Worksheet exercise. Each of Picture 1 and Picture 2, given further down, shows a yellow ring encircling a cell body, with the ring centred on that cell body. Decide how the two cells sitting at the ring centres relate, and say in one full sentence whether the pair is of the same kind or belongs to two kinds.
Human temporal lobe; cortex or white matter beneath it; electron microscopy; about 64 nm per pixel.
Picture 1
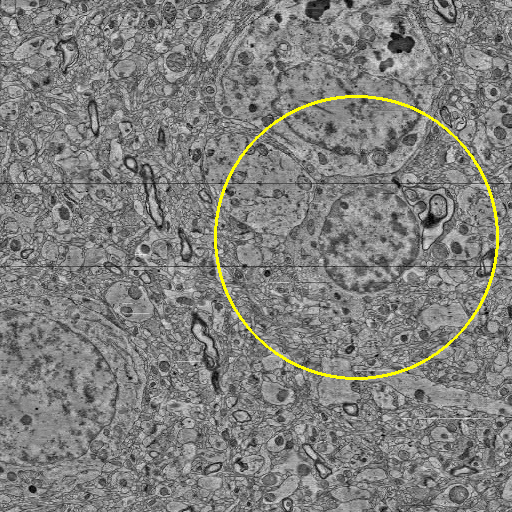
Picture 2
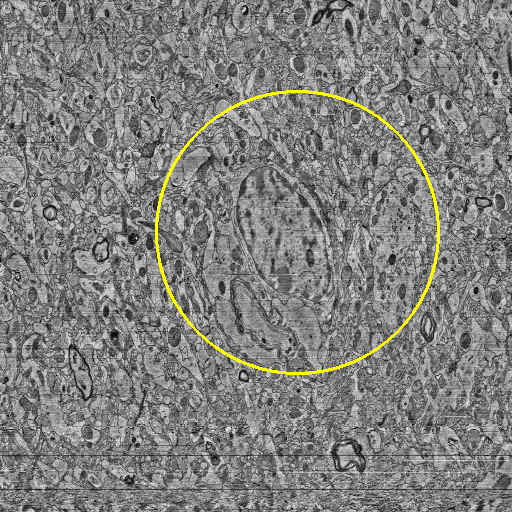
The cells at the ring centres in Picture 1 and Picture 2 belong to two kinds.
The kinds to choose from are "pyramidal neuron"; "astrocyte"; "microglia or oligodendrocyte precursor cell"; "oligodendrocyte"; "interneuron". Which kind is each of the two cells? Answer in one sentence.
Of the two, the first cell is an oligodendrocyte and the second cell is a microglial cell or oligodendrocyte precursor cell.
